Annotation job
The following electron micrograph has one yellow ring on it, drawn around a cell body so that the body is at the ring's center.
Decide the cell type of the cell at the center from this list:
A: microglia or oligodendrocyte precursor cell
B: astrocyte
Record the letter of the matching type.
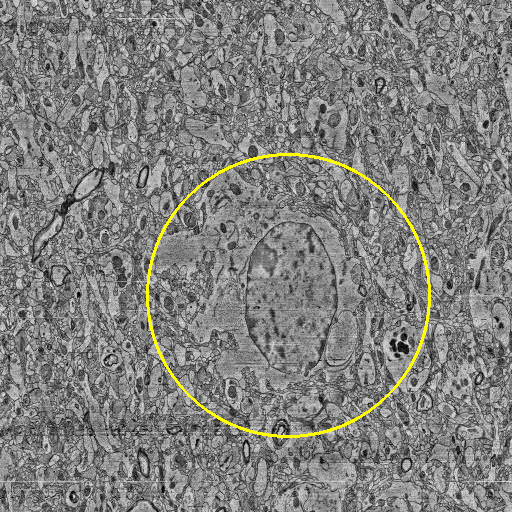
B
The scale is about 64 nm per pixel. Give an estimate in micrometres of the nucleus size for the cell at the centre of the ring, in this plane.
In this plane, about 10 by 6 micrometres: the nucleus is clearly longer than it is wide.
